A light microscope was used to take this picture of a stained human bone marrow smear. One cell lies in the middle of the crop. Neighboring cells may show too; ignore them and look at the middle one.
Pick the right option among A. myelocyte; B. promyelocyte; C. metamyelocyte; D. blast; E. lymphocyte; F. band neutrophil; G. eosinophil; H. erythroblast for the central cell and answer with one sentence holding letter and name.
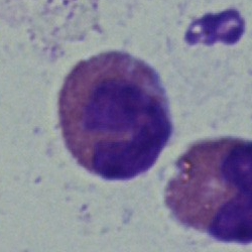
The cell occupying the centre is an eosinophil; option G is thus the correct choice.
